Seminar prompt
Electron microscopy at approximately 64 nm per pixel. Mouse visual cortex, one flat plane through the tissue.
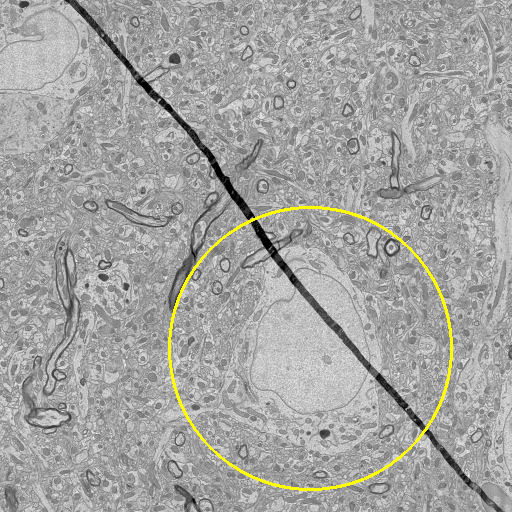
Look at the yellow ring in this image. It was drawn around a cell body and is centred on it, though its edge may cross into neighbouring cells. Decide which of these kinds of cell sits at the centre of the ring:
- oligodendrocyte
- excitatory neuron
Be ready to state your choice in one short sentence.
The kind of cell at the ring's centre is an excitatory neuron.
